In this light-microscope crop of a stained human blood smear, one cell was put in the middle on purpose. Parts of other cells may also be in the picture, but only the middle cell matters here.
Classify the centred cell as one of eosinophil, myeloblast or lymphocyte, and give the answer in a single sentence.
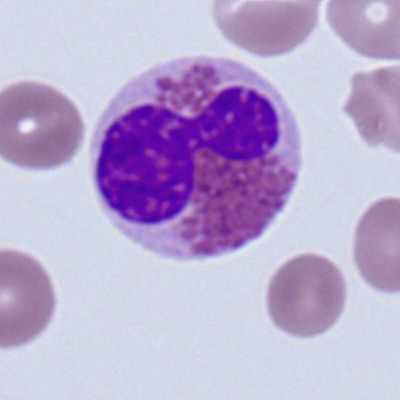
Classified as an eosinophil is the cell in the middle of this crop.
